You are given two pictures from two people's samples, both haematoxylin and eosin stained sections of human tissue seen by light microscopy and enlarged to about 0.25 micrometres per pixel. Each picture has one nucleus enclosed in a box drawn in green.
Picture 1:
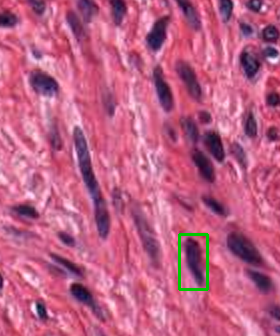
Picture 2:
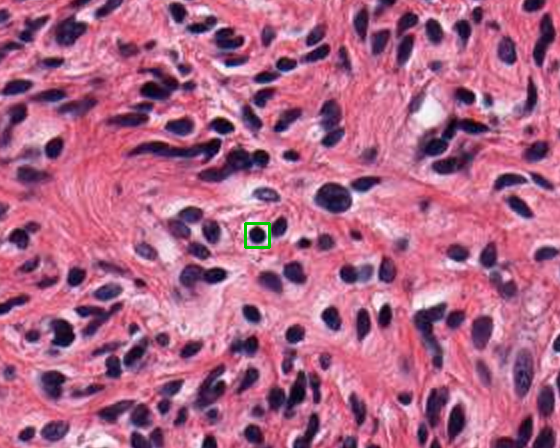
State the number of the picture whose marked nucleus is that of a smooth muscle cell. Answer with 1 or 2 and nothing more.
1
